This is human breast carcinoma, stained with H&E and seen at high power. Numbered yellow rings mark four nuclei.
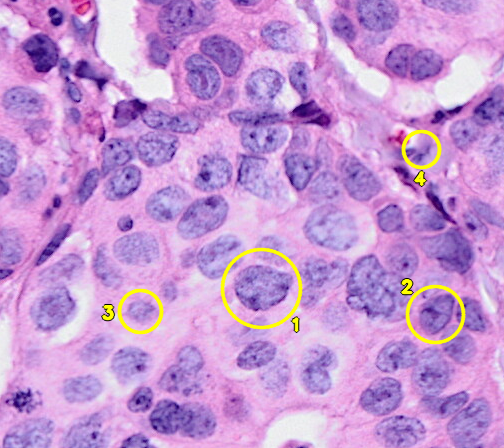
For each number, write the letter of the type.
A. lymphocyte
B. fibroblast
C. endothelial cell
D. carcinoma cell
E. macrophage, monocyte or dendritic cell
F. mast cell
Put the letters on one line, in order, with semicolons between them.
D; D; D; C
